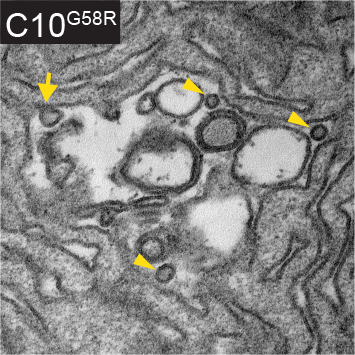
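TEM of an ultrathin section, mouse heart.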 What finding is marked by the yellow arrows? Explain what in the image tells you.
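The arrows point to small membrane protrusions still attached to inner membranes. On this evidence: inner membrane active budding events.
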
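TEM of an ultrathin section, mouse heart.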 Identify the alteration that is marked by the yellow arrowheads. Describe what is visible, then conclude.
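The arrowheads point to small closed round vesicles with dark rims detached from surrounding membranes. So: completed budding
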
